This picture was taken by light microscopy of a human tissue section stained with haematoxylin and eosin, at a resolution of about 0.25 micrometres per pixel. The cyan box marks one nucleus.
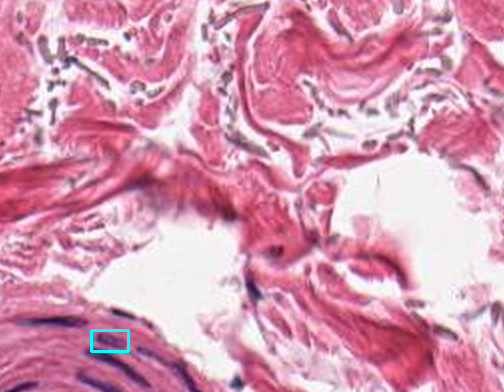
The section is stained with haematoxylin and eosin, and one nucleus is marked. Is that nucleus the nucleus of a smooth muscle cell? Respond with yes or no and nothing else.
yes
